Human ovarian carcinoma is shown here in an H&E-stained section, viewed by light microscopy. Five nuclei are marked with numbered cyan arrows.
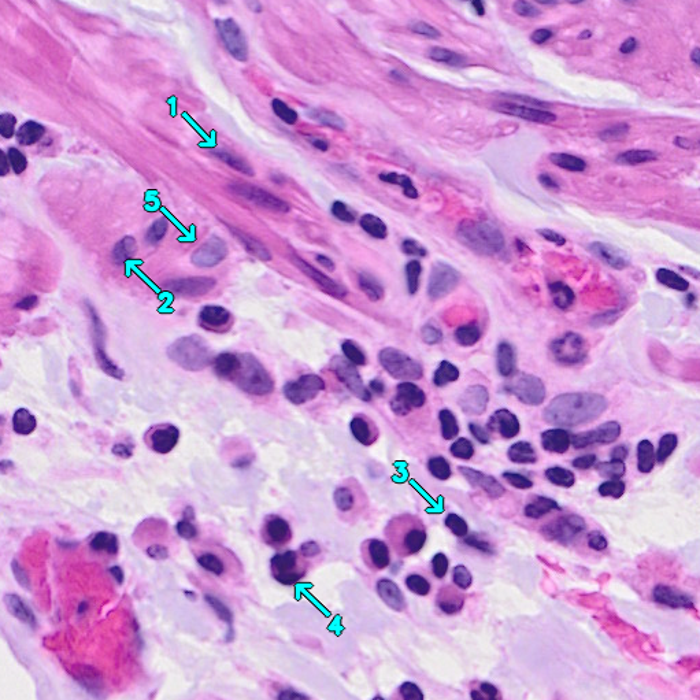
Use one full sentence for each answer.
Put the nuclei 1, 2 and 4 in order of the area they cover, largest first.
Going from the biggest nucleus down to the smallest gives 4, 1, 2.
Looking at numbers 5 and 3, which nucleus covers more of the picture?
It is nucleus 5, which covers about 1.5 times the area of nucleus 3.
